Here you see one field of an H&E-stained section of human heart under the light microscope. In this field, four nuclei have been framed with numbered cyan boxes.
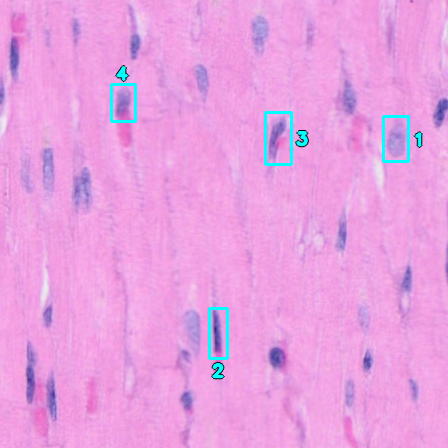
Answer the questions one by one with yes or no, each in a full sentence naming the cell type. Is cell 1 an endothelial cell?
No, the marker 1 sits on a cardiomyocyte, not on an endothelial cell.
